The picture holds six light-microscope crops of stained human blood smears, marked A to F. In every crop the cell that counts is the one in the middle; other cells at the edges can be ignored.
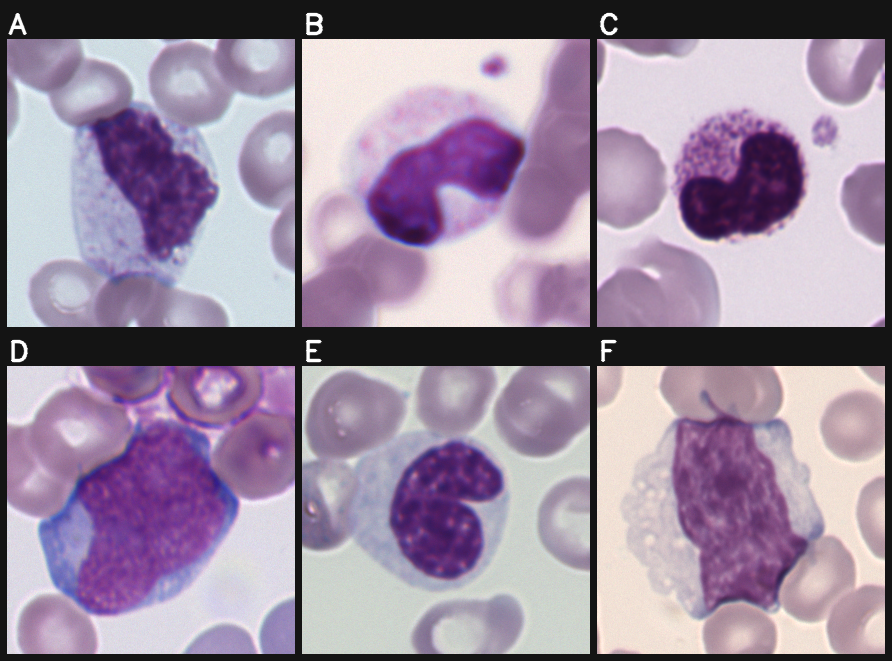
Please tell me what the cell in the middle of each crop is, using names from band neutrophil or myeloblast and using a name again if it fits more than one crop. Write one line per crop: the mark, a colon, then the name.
A: band neutrophil
B: band neutrophil
C: band neutrophil
D: myeloblast
E: band neutrophil
F: myeloblast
